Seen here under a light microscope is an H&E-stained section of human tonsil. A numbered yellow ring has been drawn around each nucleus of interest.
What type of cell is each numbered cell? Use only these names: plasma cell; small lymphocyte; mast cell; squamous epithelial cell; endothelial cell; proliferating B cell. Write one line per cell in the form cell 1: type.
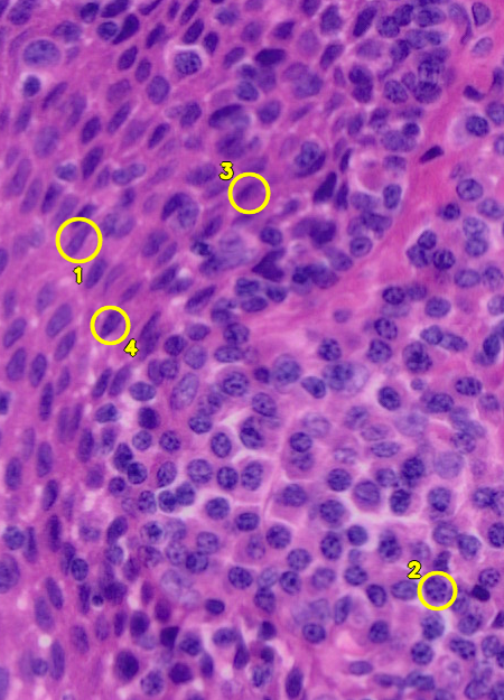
cell 1: squamous epithelial cell
cell 2: plasma cell
cell 3: squamous epithelial cell
cell 4: squamous epithelial cell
